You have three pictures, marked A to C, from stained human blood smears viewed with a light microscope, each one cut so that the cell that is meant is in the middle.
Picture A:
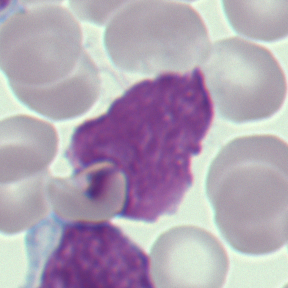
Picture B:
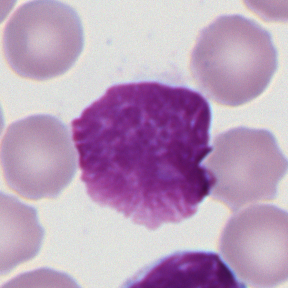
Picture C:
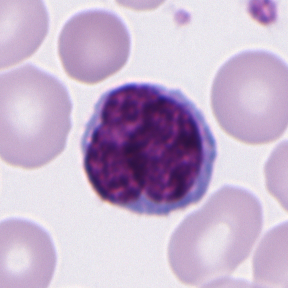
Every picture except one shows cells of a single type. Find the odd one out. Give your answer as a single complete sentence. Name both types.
Picture C differs, because its cell is a typical lymphocyte and the rest are smudge cells.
